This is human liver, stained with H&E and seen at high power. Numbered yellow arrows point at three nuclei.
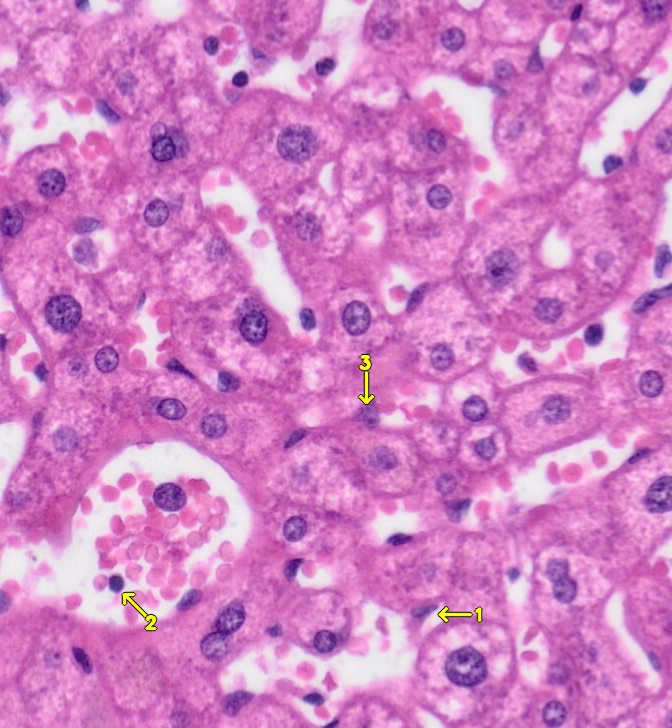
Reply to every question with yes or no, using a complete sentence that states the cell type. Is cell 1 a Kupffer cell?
Yes, the cell tagged with the number 1 is a Kupffer cell.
